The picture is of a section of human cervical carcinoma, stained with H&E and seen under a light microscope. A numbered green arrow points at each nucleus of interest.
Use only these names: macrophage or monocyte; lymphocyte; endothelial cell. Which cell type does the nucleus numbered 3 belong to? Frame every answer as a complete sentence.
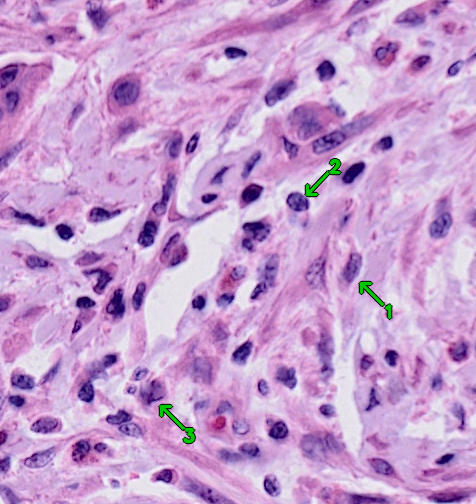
Within this field of view, the cell labelled 3 is a macrophage or monocyte.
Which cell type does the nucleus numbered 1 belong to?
Cell number 1 in this section is a macrophage or monocyte.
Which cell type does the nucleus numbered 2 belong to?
The cell referred to as 2 is a lymphocyte.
